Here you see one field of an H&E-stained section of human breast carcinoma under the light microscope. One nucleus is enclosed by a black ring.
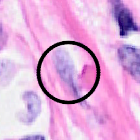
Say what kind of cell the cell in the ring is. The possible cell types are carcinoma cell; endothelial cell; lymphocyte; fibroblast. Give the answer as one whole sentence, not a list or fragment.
Histopathologically, the cell in the ring is an endothelial cell.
